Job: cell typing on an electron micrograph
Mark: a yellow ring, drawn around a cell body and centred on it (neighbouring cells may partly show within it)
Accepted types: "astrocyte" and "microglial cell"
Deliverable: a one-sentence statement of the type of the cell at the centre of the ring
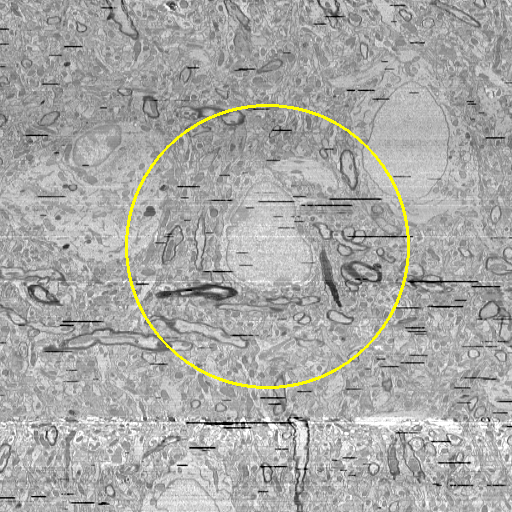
The centred cell body is that of an astrocyte.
